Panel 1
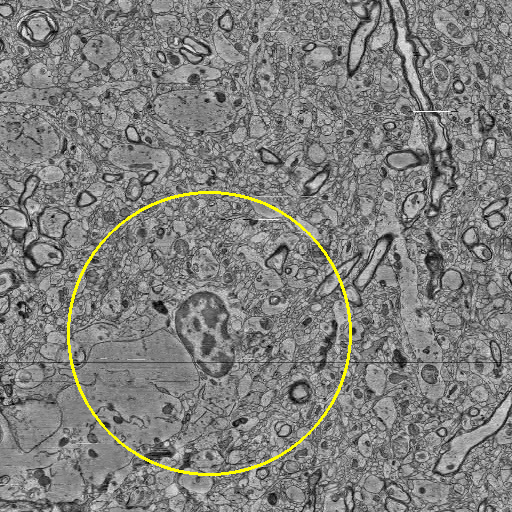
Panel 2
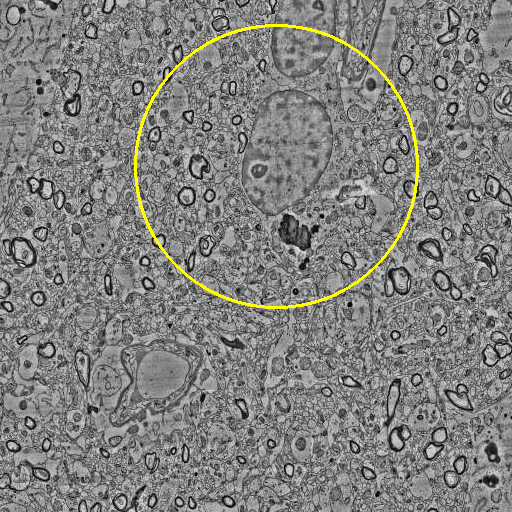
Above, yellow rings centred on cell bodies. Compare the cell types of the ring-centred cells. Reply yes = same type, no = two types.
no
